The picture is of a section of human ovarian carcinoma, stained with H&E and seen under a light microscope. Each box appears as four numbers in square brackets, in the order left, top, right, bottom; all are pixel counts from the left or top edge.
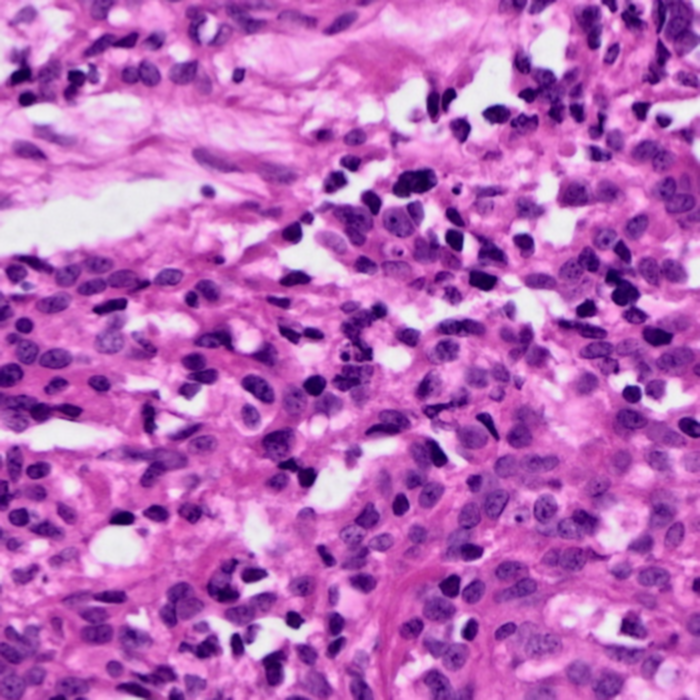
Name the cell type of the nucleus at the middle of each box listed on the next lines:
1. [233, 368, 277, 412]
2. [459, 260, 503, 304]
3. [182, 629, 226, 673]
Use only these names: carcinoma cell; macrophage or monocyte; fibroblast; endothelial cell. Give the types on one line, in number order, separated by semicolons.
macrophage or monocyte; carcinoma cell; macrophage or monocyte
